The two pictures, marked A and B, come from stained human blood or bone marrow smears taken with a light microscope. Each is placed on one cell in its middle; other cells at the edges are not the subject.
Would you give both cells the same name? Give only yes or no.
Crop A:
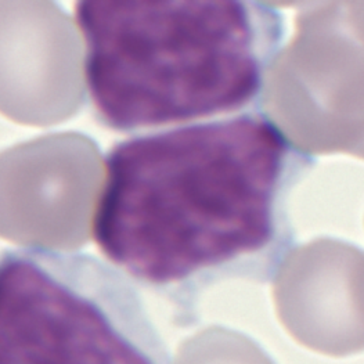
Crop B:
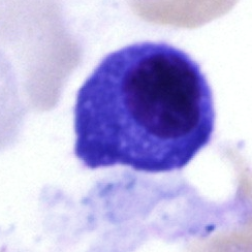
no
